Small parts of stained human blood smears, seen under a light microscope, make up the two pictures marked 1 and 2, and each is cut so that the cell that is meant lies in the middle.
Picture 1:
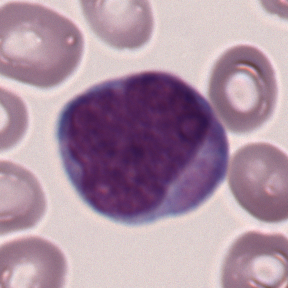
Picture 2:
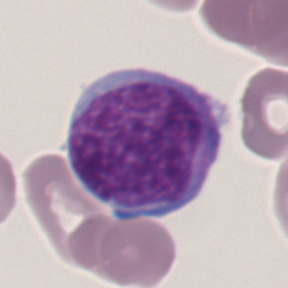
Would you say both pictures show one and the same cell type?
yes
